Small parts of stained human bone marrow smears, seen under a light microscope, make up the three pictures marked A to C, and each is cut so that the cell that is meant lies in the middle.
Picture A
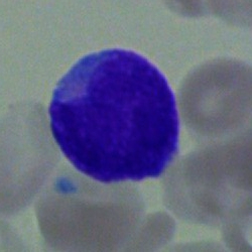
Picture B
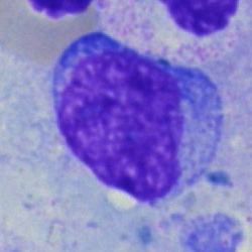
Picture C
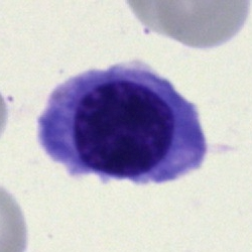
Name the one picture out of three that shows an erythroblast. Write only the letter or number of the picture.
C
